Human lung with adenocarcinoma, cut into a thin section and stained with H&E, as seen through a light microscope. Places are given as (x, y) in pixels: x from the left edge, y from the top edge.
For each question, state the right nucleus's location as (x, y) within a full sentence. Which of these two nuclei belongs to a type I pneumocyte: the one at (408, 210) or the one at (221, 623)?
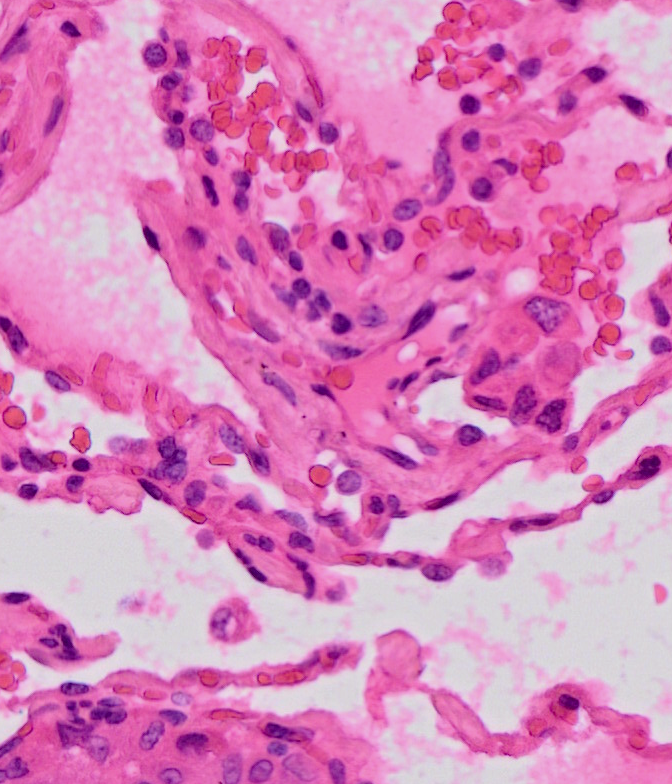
Of the two nuclei, the one sitting at (408, 210) belongs to a type I pneumocyte.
